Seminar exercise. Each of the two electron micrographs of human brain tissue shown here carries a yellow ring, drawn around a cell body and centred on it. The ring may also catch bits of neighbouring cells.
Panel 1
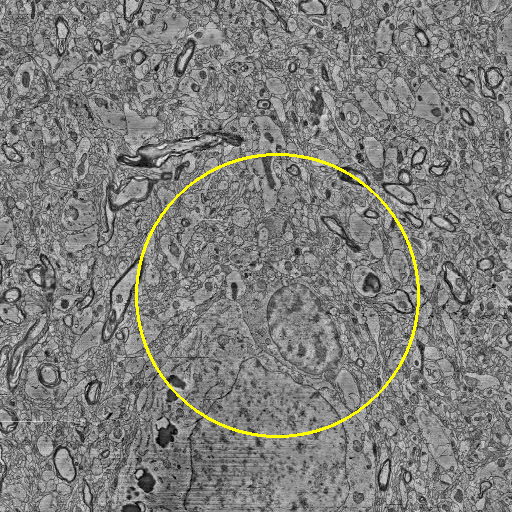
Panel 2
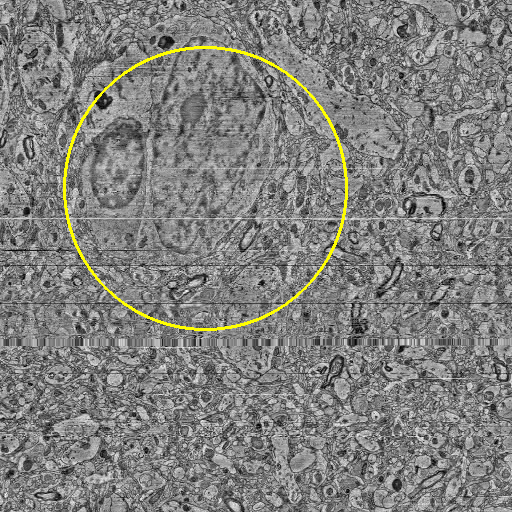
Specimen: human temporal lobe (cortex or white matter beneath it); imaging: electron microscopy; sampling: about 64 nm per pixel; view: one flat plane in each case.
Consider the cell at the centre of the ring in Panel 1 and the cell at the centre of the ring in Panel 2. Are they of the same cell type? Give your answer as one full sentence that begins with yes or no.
No, the two cells are of two types.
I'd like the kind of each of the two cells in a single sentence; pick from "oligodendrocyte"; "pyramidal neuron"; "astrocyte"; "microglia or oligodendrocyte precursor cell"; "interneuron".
The first ring marks an oligodendrocyte, and the second ring marks an interneuron.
